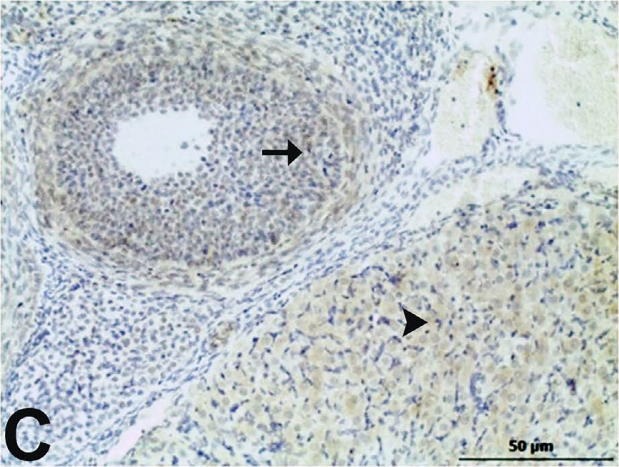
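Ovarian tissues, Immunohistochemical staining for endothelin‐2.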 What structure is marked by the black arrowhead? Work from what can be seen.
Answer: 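The arrowhead lies in a large, solid mass of big polygonal cells with pale cytoplasm. The mass has no central cavity and is set apart from the denser, bluer stroma.
Corpus luteum.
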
